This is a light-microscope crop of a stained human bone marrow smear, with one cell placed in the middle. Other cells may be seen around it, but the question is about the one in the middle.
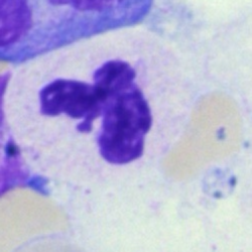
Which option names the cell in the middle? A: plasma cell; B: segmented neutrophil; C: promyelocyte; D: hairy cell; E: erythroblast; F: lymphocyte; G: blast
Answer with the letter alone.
B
